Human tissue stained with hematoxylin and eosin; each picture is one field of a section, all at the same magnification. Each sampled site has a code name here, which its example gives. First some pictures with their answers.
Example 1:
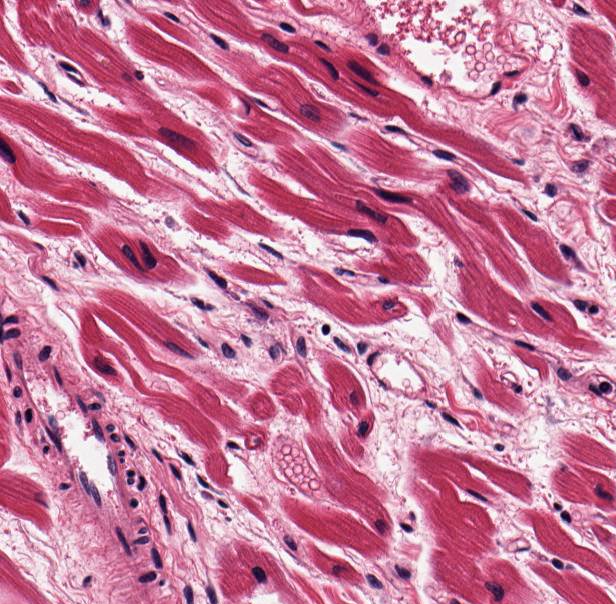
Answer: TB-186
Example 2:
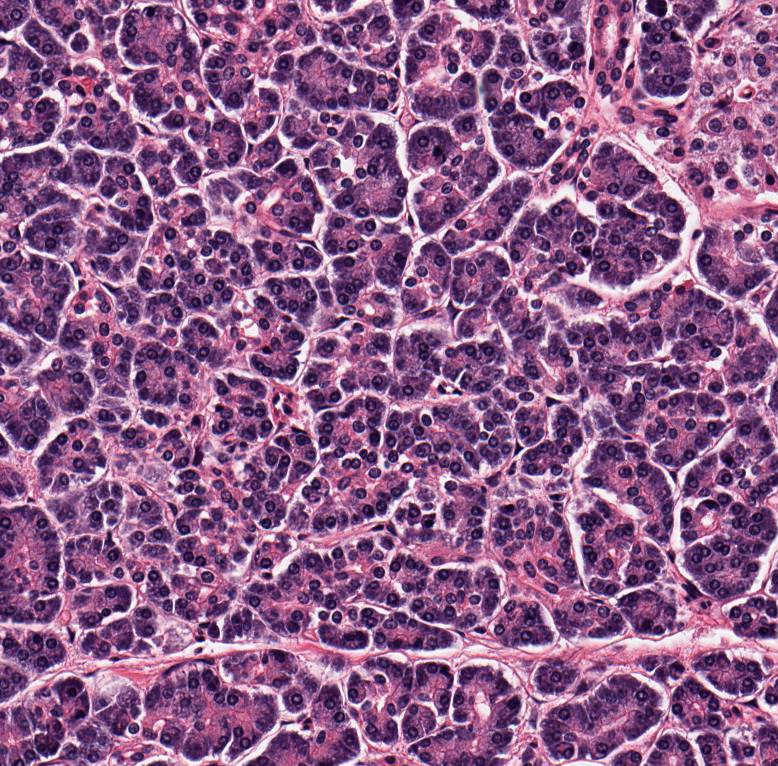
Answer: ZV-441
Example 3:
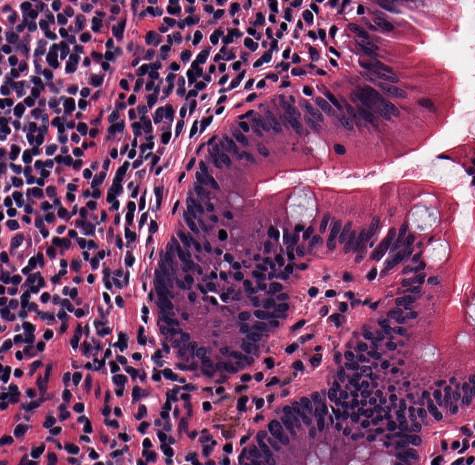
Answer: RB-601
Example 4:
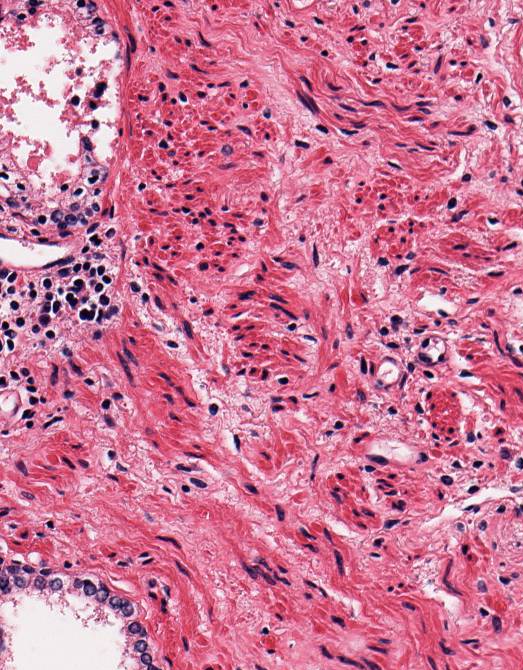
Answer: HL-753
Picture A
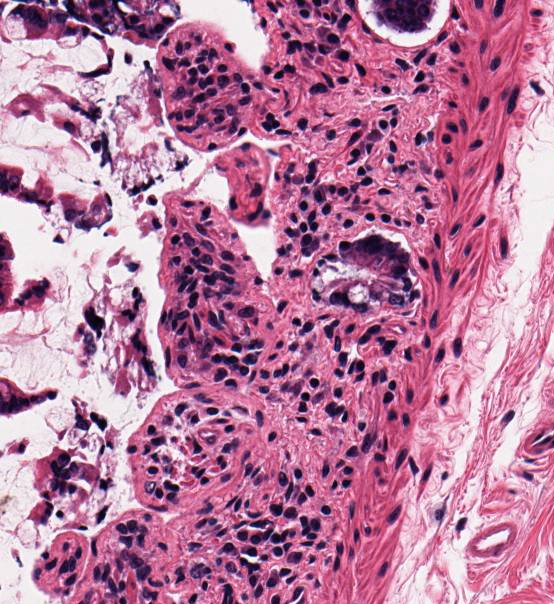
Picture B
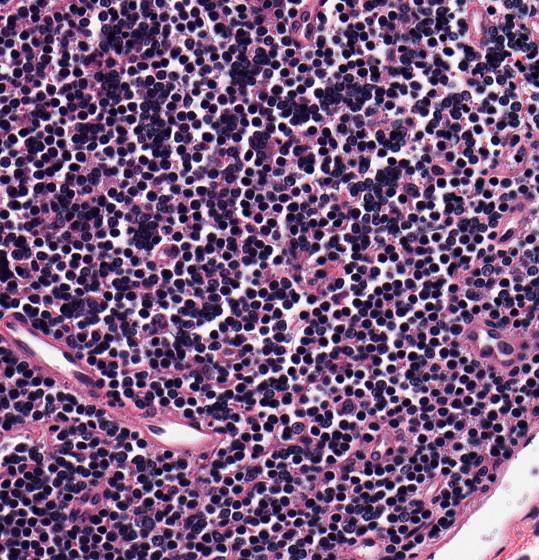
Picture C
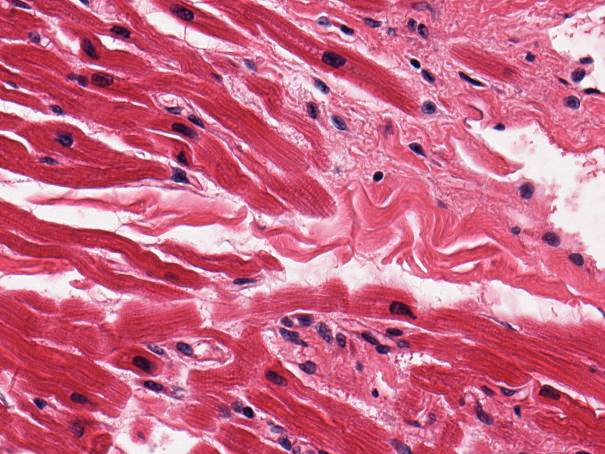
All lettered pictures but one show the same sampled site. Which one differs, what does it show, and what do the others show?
C differs and shows TB-186; the others show RB-601.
